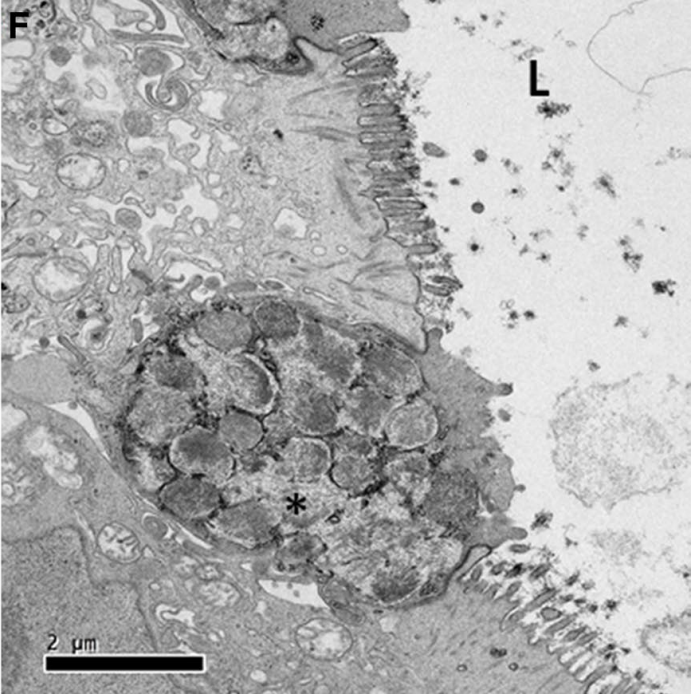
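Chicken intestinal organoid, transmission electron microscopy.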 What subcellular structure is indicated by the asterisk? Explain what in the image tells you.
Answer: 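A cluster of rounded, electron-dense granular vesicles lies packed together inside one cell. The cluster sits close to the apical surface facing the lumen.
Answer: dense vesicles containing packaged mucins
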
